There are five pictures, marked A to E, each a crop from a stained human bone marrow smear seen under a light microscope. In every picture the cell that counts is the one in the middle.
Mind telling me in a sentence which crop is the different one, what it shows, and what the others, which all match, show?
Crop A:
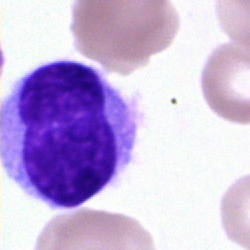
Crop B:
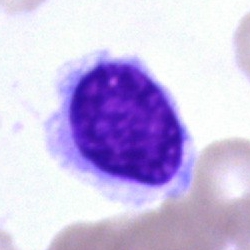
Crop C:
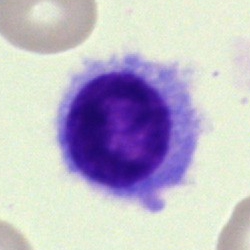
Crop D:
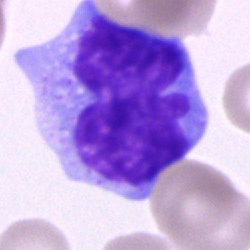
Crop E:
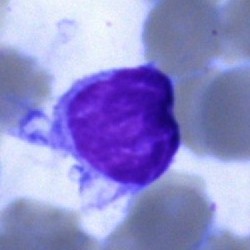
Crop D stands apart as a monocyte, whereas the remaining crops all show hairy cells.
